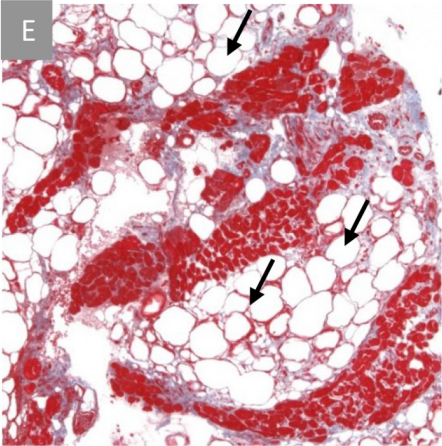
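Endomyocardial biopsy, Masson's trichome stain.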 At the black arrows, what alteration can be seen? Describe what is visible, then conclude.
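Clusters of large empty round spaces with thin walls. These spaces lie between bundles of red-stained muscle fibres.
Conclusion: fatty infiltration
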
